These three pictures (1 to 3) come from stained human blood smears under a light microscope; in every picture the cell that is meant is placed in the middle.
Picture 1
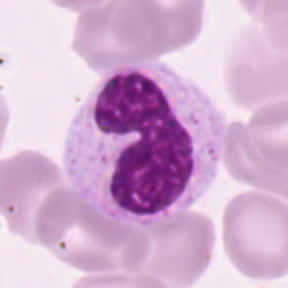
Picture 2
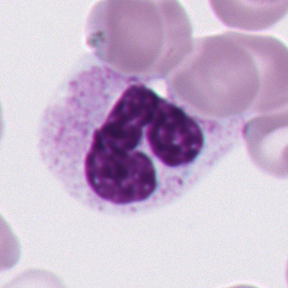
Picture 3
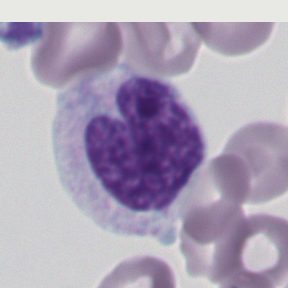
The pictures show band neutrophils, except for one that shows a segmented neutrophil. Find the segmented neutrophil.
2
